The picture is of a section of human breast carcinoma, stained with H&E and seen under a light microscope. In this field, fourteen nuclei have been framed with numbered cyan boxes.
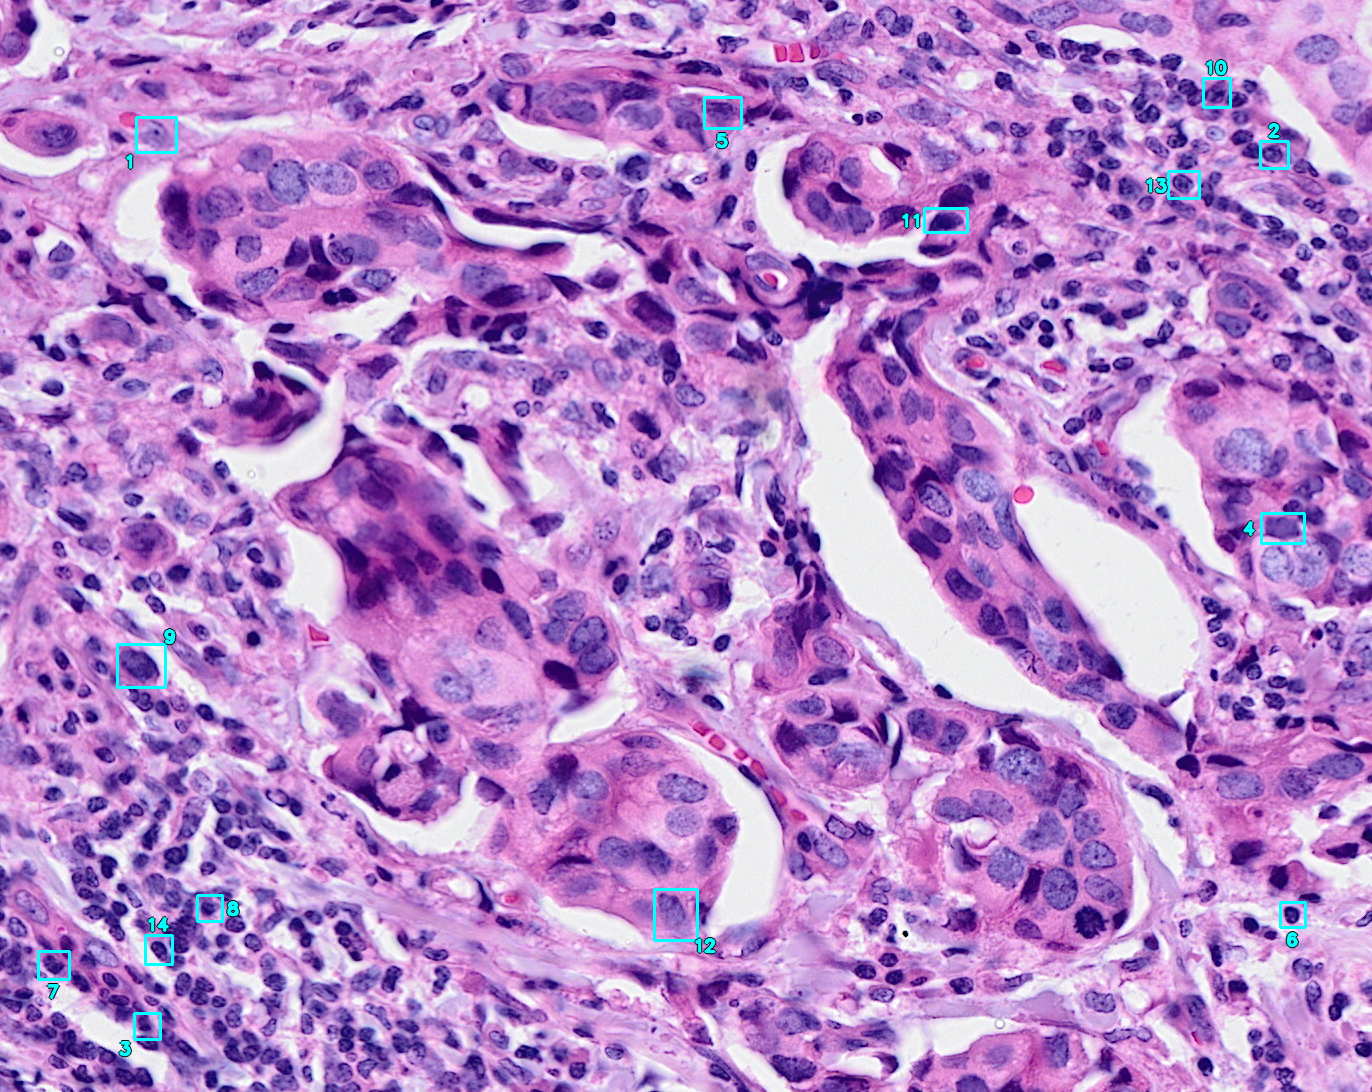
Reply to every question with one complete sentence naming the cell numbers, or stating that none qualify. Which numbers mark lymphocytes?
Within this tissue, the cells numbered 2, 3, 6, 7, 8, 10, 13 and 14 are lymphocytes.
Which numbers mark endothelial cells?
Just one of the numbered cells is an endothelial cell, namely number 1.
